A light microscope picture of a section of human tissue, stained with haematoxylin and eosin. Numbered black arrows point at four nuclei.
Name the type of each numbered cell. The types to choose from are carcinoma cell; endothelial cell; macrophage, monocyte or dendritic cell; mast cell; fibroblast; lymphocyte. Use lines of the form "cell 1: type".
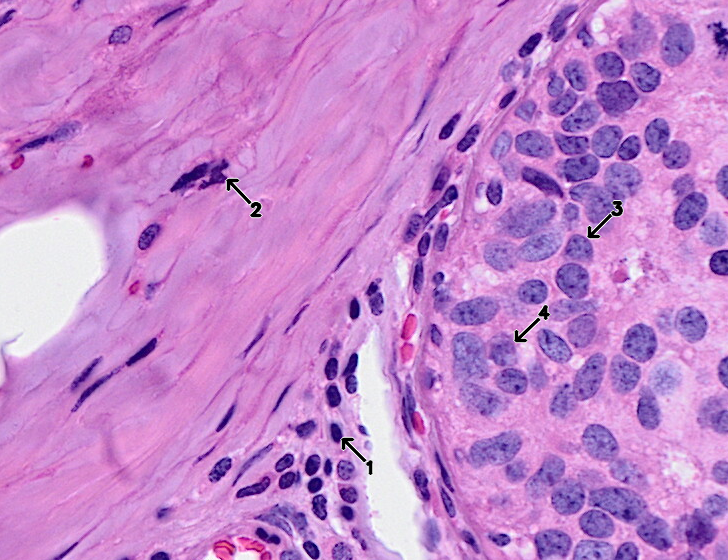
cell 1: lymphocyte
cell 2: fibroblast
cell 3: carcinoma cell
cell 4: carcinoma cell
